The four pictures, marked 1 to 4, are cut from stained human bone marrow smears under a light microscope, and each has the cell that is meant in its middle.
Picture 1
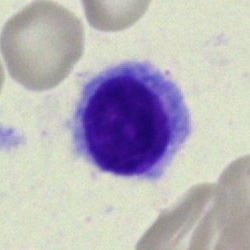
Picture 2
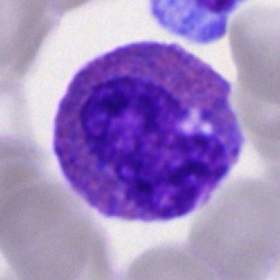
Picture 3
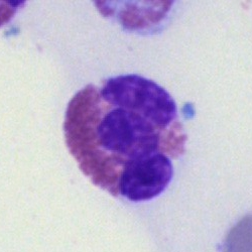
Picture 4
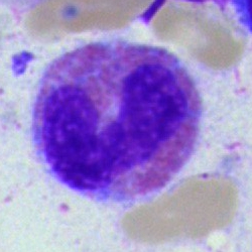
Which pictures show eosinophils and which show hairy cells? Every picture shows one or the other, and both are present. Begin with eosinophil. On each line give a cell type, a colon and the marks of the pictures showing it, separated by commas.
eosinophil: 2, 3, 4
hairy cell: 1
